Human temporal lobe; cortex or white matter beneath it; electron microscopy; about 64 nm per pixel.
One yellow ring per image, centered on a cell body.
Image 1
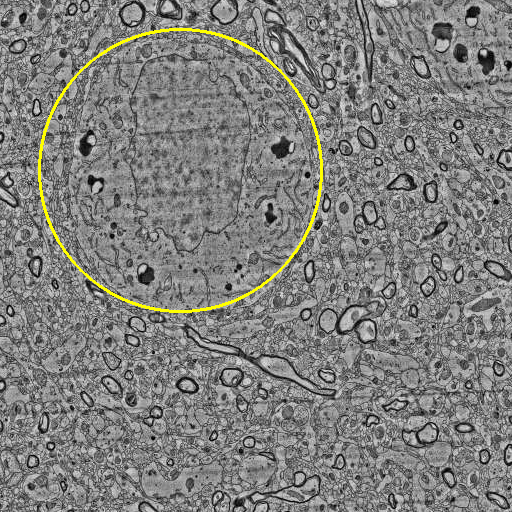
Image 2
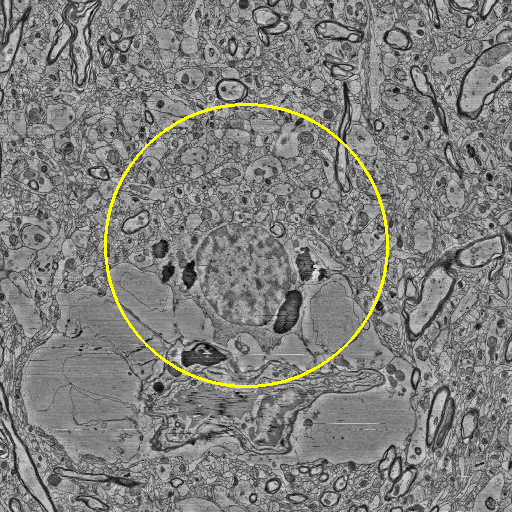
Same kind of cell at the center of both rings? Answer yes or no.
no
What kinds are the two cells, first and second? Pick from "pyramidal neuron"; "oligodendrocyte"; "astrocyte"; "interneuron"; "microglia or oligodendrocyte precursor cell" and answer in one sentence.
The second picture holds an oligodendrocyte in its ring, and the first holds a pyramidal neuron.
